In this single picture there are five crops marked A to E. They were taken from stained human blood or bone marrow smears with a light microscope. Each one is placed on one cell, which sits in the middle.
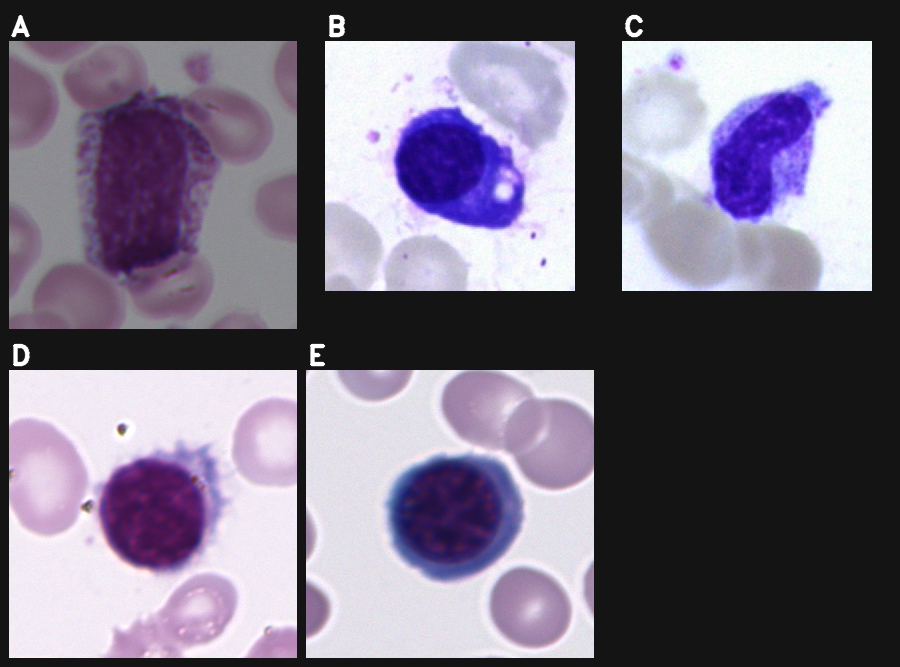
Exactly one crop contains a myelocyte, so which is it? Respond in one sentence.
Of the labeled crops, the one with a myelocyte is crop A.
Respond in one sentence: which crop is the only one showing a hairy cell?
The crop with a hairy cell at its center is crop D.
